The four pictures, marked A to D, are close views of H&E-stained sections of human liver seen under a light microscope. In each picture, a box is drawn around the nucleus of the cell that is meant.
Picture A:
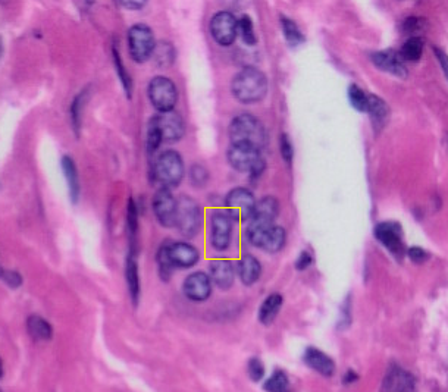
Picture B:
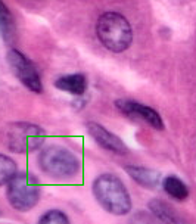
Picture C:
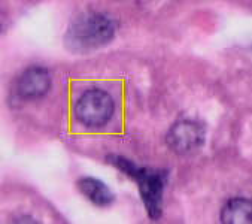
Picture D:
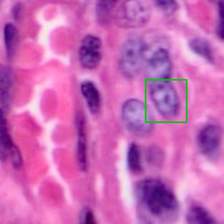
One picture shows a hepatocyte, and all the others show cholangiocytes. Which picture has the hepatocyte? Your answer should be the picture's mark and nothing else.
C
